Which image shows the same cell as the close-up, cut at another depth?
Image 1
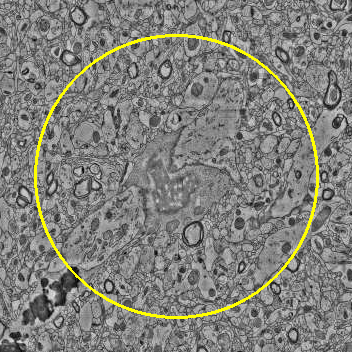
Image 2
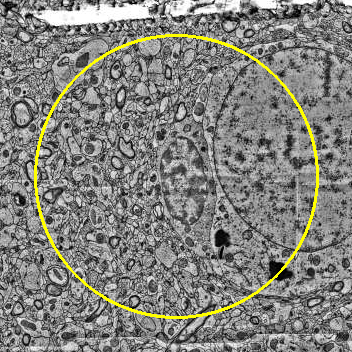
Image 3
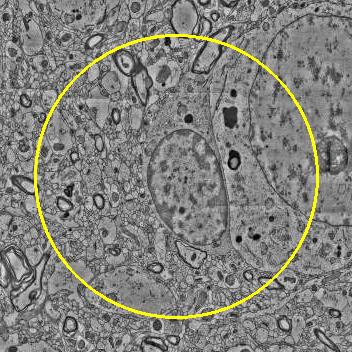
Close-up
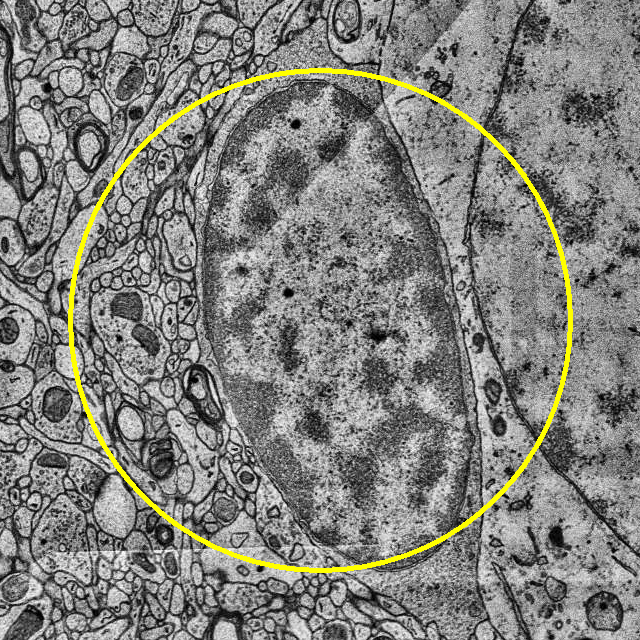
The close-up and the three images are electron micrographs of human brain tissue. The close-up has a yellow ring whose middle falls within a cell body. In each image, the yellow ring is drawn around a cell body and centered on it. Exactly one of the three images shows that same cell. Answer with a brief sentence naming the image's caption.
The enlarged view corresponds to the cell ringed in Image 2.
